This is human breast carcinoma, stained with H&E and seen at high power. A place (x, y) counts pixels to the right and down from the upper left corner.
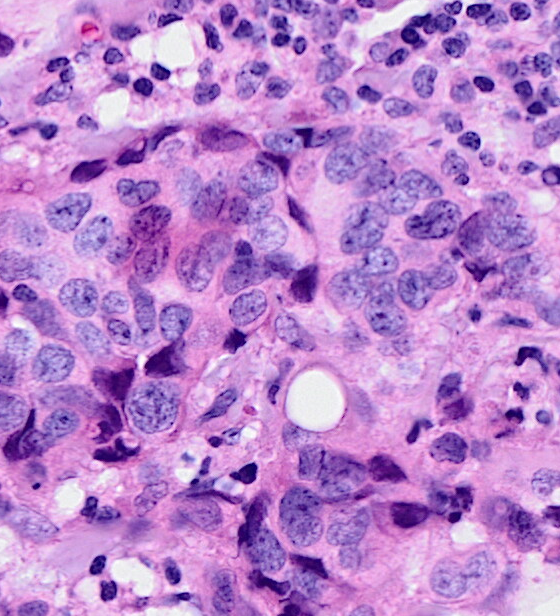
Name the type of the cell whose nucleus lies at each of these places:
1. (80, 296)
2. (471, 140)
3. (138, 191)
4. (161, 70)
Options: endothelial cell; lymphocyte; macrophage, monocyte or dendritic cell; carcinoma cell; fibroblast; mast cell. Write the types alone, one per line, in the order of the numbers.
carcinoma cell
lymphocyte
carcinoma cell
lymphocyte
